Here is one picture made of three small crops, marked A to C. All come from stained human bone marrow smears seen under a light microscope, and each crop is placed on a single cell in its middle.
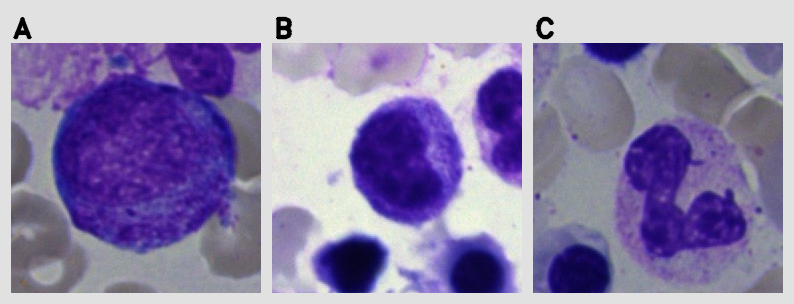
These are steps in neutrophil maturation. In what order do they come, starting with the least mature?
A, B, C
